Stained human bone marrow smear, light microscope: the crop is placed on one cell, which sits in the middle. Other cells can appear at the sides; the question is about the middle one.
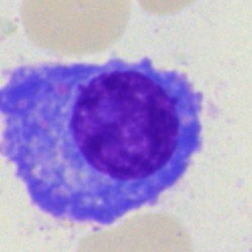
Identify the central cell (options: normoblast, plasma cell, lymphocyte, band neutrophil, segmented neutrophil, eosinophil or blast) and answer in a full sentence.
Centred in the crop is a plasma cell.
